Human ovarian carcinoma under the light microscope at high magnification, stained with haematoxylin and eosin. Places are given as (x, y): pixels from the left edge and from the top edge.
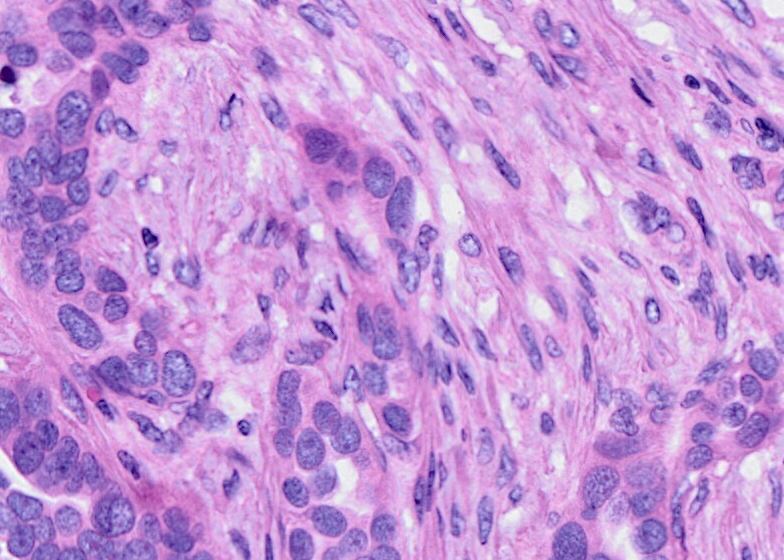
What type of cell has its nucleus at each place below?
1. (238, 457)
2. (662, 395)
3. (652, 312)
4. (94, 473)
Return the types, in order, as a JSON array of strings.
["fibroblast", "fibroblast", "fibroblast", "carcinoma cell"]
